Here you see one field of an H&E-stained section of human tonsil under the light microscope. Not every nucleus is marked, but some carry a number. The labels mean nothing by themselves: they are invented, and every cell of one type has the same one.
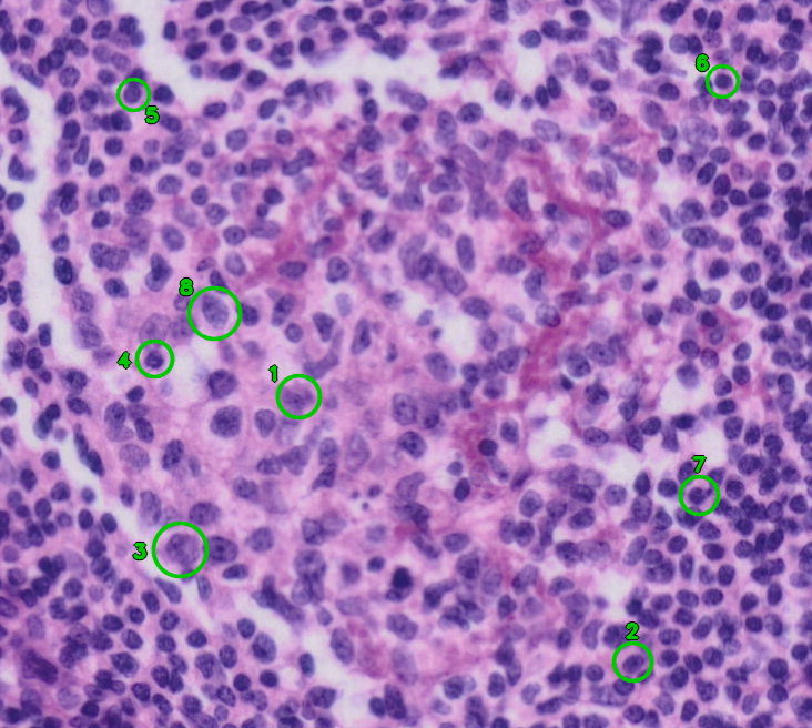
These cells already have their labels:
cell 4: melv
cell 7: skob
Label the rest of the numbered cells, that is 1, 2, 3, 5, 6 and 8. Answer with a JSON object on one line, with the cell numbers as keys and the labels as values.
{"1": "melv", "2": "skob", "3": "melv", "5": "skob", "6": "skob", "8": "melv"}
